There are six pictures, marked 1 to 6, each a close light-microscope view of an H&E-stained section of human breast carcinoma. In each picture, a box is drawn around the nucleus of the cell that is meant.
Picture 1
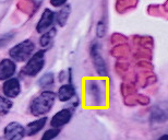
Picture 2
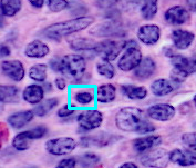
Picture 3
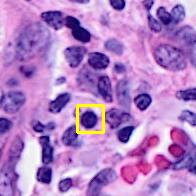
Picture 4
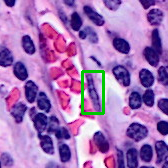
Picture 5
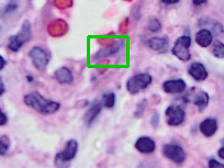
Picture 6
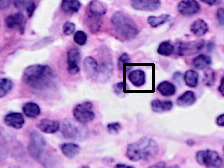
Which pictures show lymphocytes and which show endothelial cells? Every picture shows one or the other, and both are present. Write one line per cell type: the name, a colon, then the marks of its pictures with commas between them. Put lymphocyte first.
lymphocyte: 2, 3, 6
endothelial cell: 1, 4, 5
